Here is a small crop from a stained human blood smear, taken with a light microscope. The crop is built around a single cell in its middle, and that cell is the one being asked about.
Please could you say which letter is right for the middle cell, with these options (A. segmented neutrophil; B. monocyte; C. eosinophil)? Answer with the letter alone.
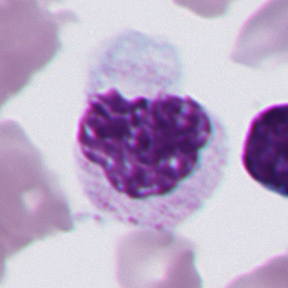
A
